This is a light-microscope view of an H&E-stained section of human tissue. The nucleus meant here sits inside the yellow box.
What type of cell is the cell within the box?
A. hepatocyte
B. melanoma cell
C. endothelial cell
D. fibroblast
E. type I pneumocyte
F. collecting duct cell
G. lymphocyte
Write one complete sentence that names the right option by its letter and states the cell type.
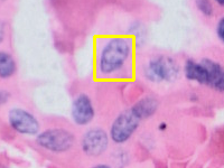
Option F is the one to take: the cell within the box is a collecting duct cell.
